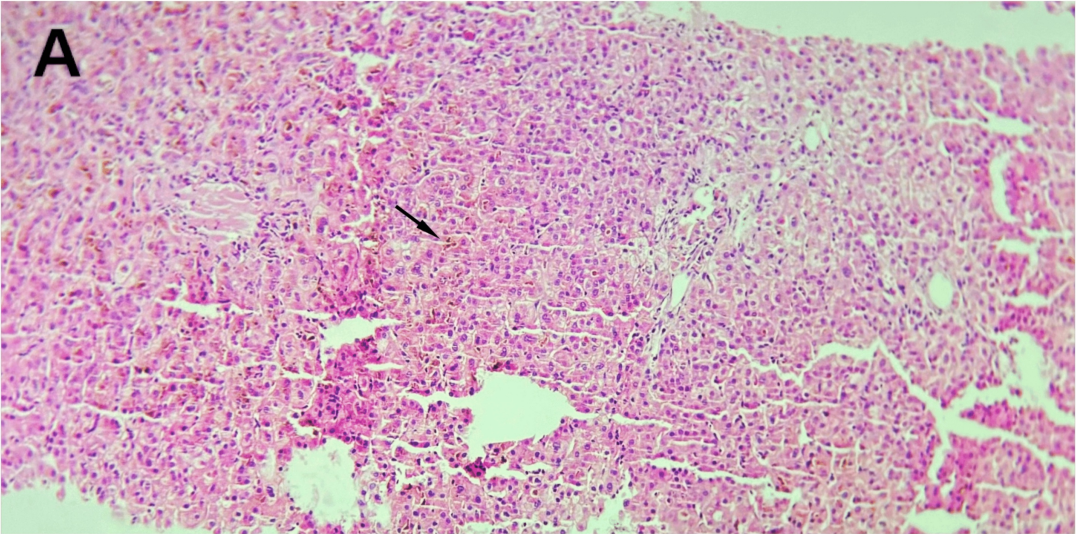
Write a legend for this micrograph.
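A low-power view of liver parenchyma, made up of sheets and cords of hepatocytes with pink cytoplasm and round nuclei. The cords are separated by sinusoidal clefts and interrupted by a few vascular spaces. Fine brownish pigment flecks are scattered among the hepatocytes.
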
